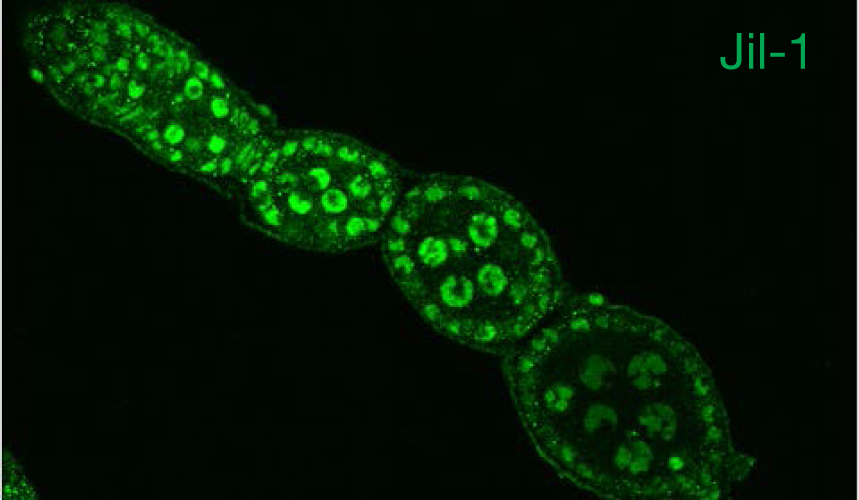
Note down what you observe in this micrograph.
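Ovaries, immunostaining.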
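This is the same chain of ovarian chambers labelled in green. The cytoplasm between nuclei is only faintly speckled. At the upper left the narrow end packed with small cells is densely labelled. In the largest chamber, at the lower right, the central nuclei appear somewhat dimmer than in the smaller chambers.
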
